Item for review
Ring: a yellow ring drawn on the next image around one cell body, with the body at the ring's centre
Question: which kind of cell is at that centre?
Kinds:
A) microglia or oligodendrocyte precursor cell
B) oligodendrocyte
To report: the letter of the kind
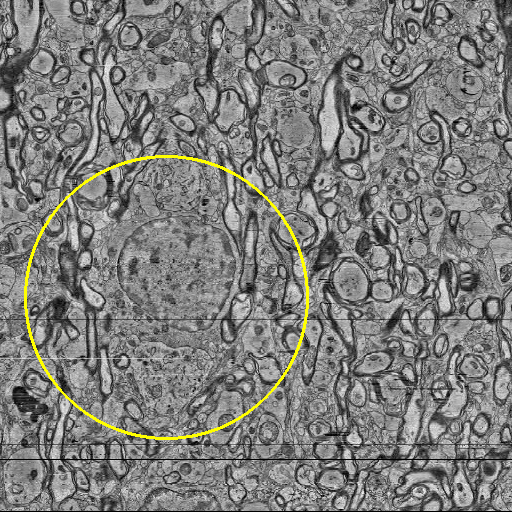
B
